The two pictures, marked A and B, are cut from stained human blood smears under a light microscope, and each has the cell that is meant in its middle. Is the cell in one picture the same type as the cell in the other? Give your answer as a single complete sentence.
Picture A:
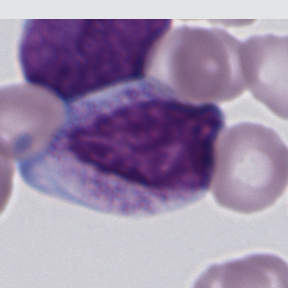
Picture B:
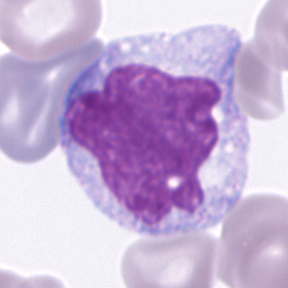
No, the types are not the same, since picture A shows a myelocyte and picture B a monocyte.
